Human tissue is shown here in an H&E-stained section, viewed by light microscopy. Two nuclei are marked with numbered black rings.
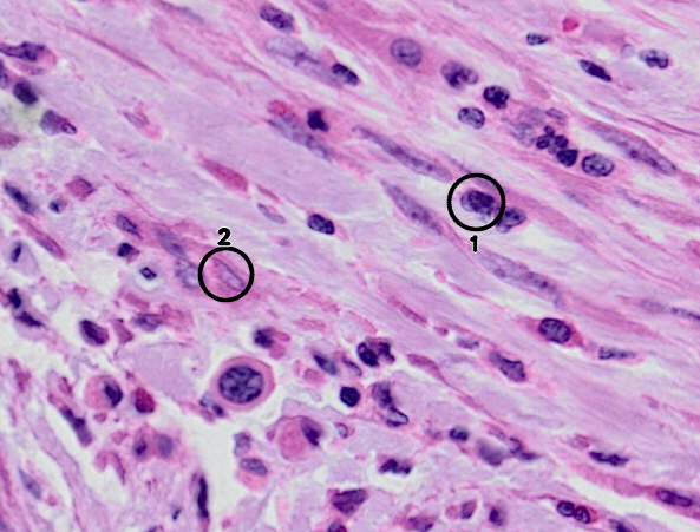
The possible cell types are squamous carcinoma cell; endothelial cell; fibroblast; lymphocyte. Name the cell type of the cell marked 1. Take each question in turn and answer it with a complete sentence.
The cell given label 1 is a lymphocyte.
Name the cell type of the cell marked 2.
The cell carrying label 2 is identified as an endothelial cell.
